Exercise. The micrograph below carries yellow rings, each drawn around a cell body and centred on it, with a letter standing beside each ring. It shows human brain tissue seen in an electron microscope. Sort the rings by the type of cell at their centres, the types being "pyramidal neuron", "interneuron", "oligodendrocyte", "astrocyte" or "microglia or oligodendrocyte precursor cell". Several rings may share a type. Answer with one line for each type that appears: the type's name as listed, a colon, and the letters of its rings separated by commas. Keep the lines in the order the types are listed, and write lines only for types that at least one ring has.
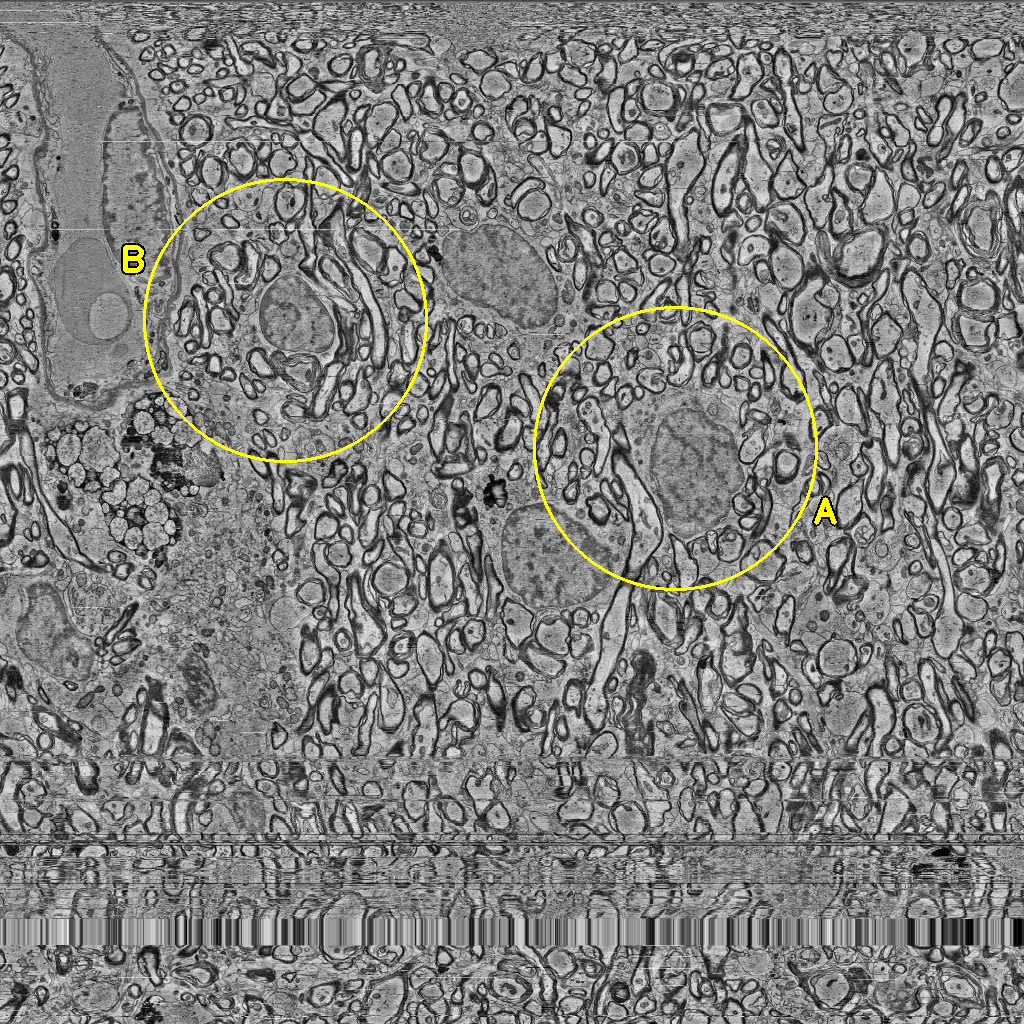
oligodendrocyte: A
microglia or oligodendrocyte precursor cell: B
